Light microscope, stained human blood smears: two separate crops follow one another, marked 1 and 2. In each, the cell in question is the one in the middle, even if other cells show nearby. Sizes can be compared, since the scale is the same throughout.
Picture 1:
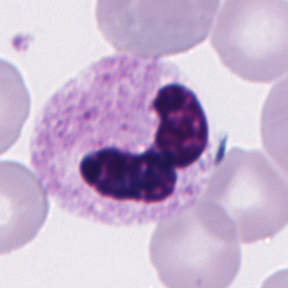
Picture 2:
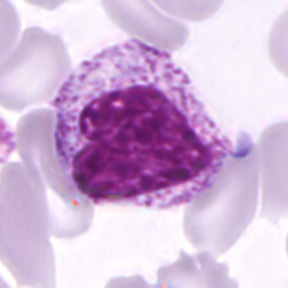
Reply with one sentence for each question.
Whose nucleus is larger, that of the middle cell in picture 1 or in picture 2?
Larger is the nucleus in picture 2, at roughly 1.5 times the area of the other.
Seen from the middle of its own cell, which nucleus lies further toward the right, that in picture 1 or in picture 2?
It is the nucleus in picture 1 that lies further toward the right of its cell.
